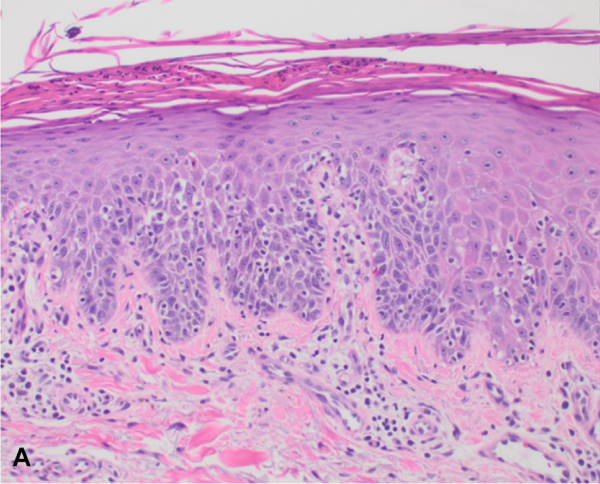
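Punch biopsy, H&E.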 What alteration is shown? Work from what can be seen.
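Atypical epidermotropic infiltrate. Many small dark-nucleated cells lie within the lower epidermis among the keratinocytes. Several of these cells sit in clear halos. A cellular infiltrate also fills the upper dermis beneath.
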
